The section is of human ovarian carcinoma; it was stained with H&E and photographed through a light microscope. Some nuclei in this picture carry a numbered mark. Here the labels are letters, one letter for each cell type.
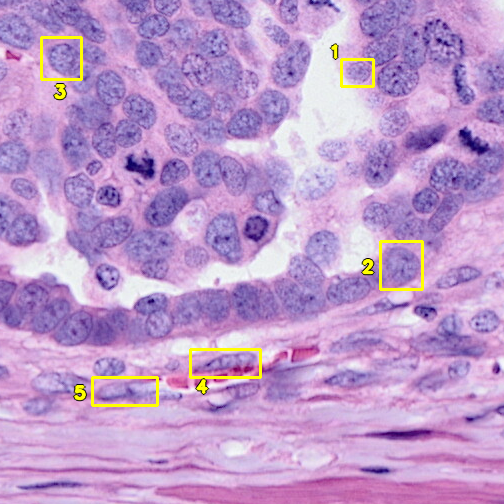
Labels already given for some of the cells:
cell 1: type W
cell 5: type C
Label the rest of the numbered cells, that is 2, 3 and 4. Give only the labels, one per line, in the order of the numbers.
type W
type W
type C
